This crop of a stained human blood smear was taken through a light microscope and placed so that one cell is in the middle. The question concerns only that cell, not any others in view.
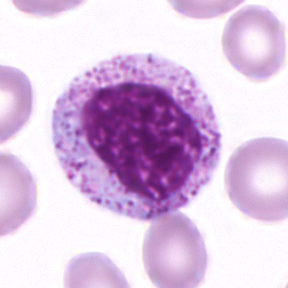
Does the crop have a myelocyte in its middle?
no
